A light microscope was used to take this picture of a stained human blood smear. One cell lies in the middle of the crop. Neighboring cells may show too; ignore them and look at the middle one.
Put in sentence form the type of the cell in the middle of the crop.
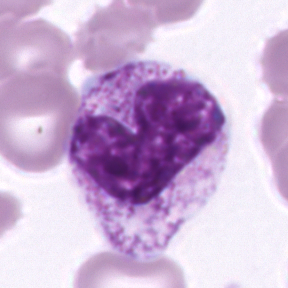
The cell of interest, located centrally, is a band neutrophil.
